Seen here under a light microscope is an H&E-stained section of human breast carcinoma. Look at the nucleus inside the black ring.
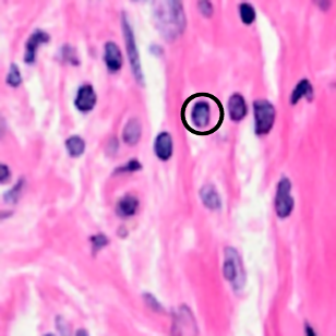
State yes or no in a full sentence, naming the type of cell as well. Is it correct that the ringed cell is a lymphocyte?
Yes, the ringed cell is, by its type, a lymphocyte.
